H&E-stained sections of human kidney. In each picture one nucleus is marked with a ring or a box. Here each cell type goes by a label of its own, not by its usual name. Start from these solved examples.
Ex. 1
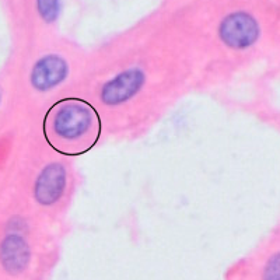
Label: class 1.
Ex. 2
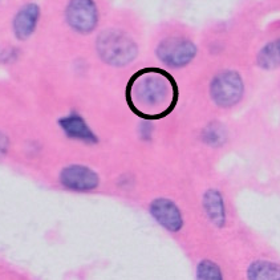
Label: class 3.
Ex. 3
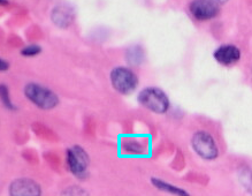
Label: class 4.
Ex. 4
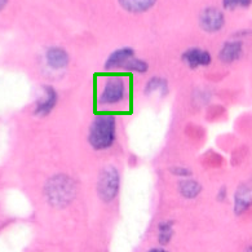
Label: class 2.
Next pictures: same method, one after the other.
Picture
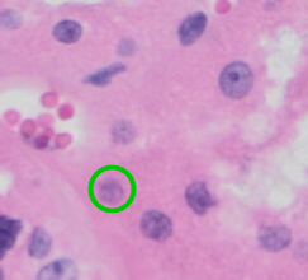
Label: class 1.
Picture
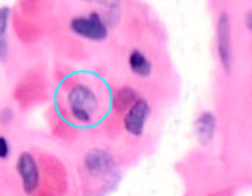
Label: class 4.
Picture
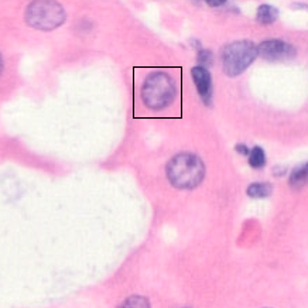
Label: class 1.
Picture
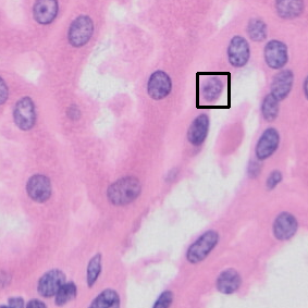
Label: class 2.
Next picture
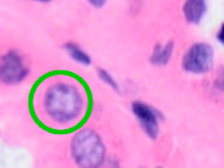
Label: class 1.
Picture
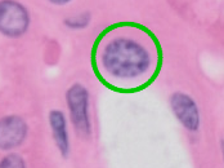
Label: class 2.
